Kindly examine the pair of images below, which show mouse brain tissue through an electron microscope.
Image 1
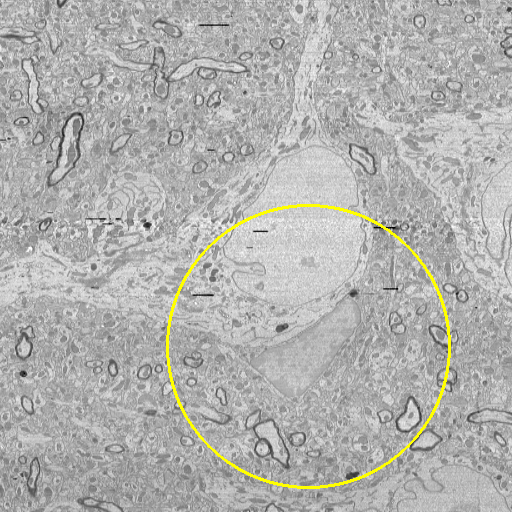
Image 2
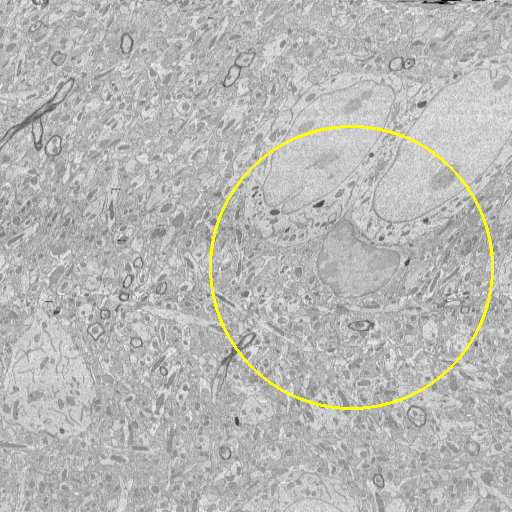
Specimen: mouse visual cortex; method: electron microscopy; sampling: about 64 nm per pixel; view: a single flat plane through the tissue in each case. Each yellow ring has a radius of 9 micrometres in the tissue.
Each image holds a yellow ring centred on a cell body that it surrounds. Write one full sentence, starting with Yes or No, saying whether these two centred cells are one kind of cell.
Yes, both cells at the centres of the yellow rings belong to one kind of cell.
